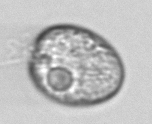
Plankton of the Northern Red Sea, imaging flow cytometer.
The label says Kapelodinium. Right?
Wrong: this is Prorocentrum.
